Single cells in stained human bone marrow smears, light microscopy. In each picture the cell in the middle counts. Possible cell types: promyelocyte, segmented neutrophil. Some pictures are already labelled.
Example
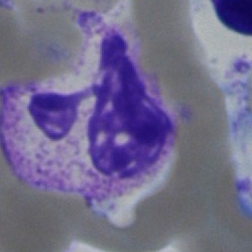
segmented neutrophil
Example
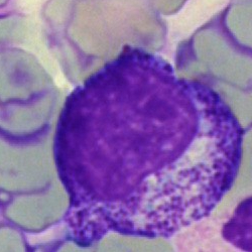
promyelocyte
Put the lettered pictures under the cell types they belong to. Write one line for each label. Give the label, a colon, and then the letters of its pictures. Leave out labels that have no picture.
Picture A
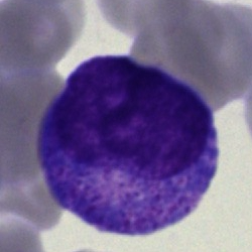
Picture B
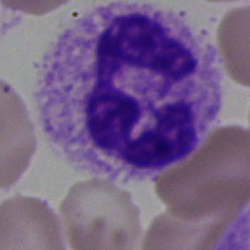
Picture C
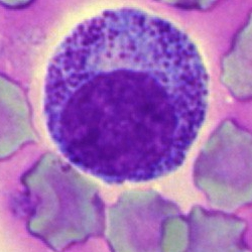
promyelocyte: A, C
segmented neutrophil: B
